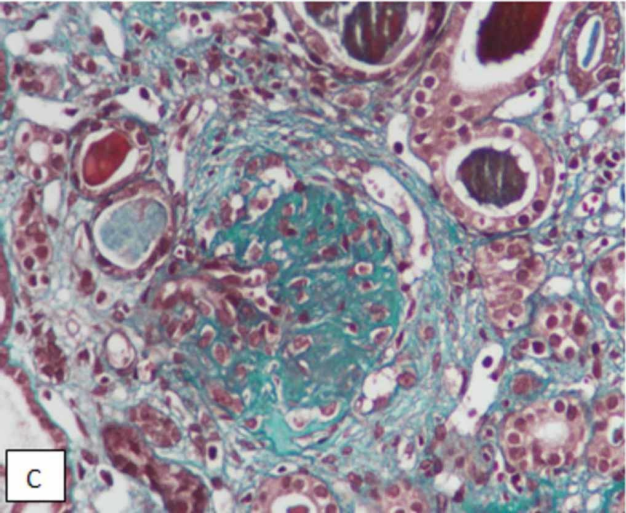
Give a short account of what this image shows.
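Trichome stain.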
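This is kidney cortex with a glomerulus at the center surrounded by tubules. Much of the glomerular tuft is taken up by green-staining matrix with scattered nuclei and few open capillary loops, a segmental scarring, while nearby tubules contain red and pale casts in their lumens.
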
